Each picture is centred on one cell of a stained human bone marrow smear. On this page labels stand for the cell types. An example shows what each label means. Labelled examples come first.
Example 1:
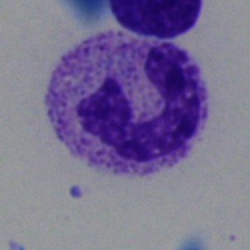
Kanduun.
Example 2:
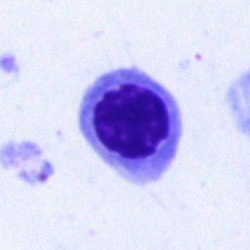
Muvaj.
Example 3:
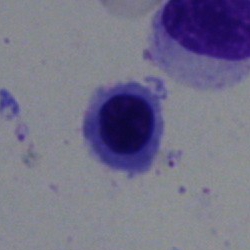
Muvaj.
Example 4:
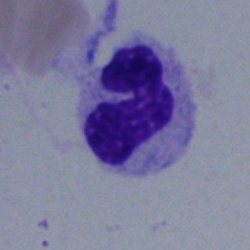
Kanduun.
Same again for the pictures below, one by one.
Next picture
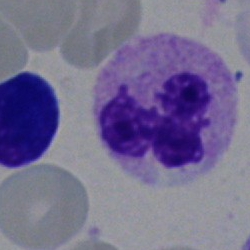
Kanduun.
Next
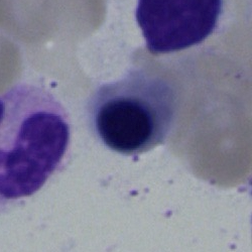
Muvaj.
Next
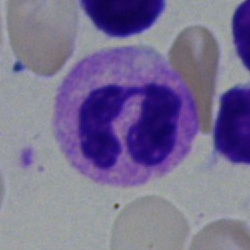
Kanduun.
